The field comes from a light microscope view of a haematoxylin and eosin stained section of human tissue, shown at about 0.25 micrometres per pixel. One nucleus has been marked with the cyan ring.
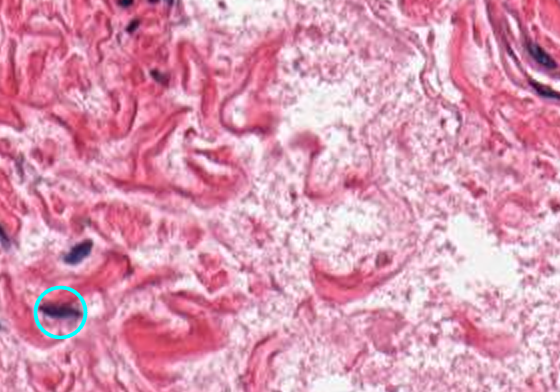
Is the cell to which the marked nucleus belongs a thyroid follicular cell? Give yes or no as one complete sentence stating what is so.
No, not to a thyroid follicular cell does the marked nucleus belong, but to a supporting cell.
